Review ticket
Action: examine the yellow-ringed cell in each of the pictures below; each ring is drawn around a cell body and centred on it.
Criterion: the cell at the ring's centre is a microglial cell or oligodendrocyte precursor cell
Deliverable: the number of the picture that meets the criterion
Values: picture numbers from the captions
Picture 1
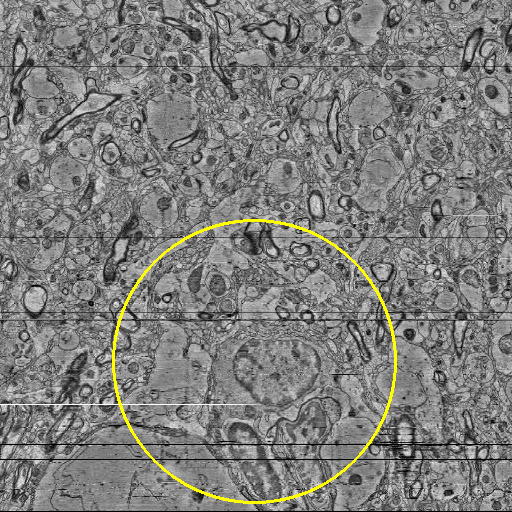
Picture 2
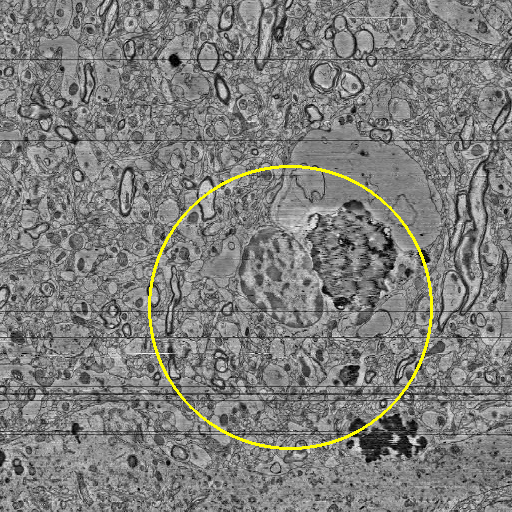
2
